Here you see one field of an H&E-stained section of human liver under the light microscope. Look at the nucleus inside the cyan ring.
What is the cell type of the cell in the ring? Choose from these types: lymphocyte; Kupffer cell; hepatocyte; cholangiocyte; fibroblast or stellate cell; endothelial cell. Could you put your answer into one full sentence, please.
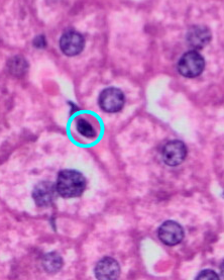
As far as its identity is concerned, the cell in the ring is a lymphocyte.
